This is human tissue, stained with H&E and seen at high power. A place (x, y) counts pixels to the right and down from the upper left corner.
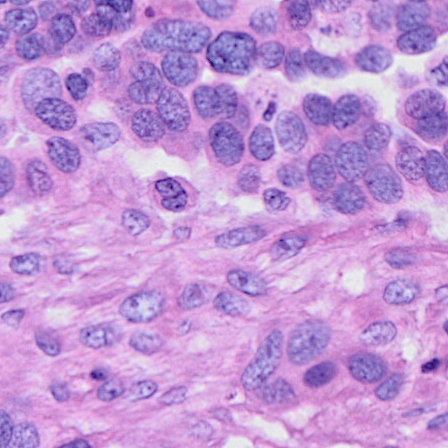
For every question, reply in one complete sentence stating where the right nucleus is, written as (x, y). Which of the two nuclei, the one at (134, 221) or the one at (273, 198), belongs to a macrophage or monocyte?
Assigned to a macrophage or monocyte is the nucleus located at (273, 198).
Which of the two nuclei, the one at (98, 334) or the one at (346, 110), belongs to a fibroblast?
Of these two nuclei, only the one at (98, 334) belongs to a fibroblast.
